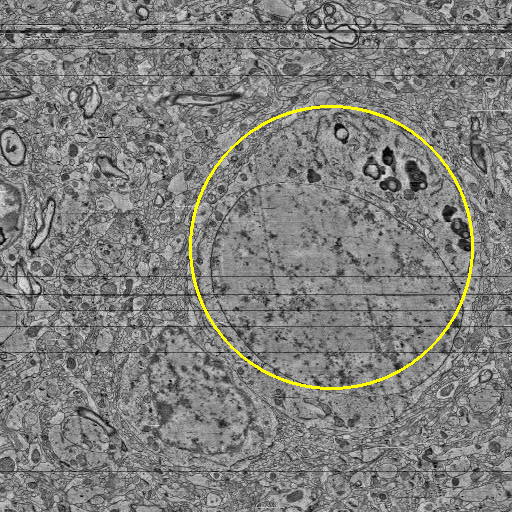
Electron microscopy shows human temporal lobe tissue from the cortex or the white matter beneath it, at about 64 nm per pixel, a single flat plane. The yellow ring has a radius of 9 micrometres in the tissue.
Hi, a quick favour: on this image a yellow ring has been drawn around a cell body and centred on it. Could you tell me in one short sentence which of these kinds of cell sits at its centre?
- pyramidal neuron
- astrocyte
The ring is centred on a pyramidal neuron.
